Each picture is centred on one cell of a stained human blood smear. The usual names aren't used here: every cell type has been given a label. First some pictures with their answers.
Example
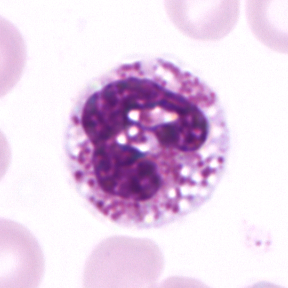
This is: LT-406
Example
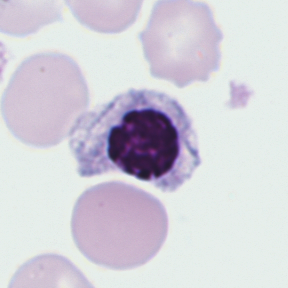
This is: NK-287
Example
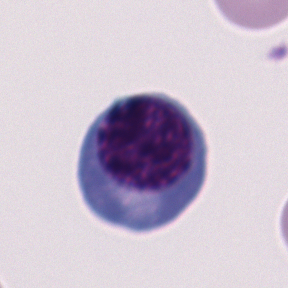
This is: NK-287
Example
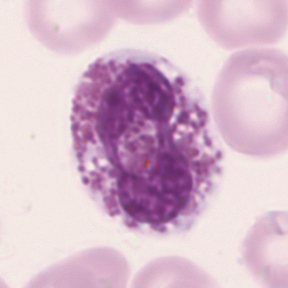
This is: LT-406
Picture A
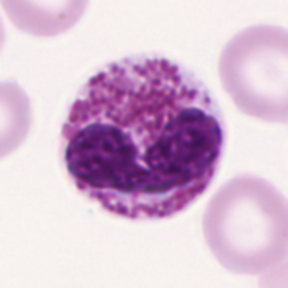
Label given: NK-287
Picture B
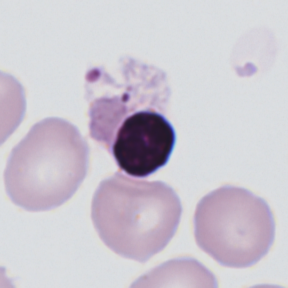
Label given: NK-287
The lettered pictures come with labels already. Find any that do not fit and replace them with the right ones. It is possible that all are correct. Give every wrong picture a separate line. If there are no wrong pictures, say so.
A: not NK-287 but LT-406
